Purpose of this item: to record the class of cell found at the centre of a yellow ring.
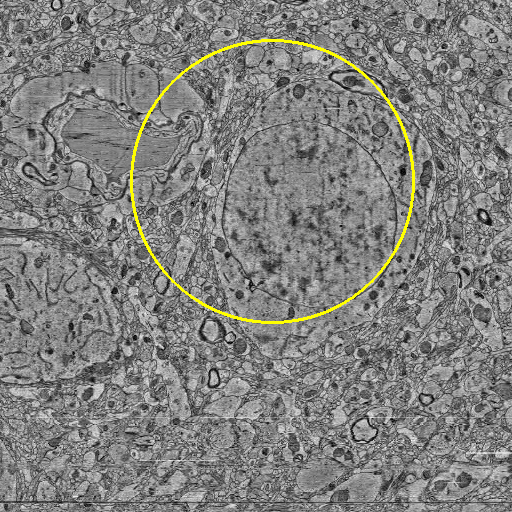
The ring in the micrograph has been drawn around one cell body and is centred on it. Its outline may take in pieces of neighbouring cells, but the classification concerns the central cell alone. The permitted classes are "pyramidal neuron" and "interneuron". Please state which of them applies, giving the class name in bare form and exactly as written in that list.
pyramidal neuron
